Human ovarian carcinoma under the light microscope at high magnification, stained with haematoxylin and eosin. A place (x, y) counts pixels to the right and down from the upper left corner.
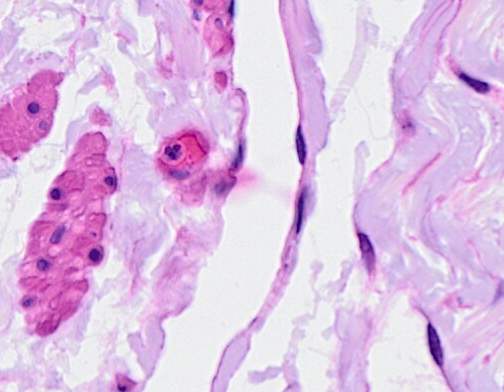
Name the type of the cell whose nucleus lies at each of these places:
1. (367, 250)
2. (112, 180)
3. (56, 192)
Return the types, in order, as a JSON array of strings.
["fibroblast", "smooth muscle cell", "smooth muscle cell"]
